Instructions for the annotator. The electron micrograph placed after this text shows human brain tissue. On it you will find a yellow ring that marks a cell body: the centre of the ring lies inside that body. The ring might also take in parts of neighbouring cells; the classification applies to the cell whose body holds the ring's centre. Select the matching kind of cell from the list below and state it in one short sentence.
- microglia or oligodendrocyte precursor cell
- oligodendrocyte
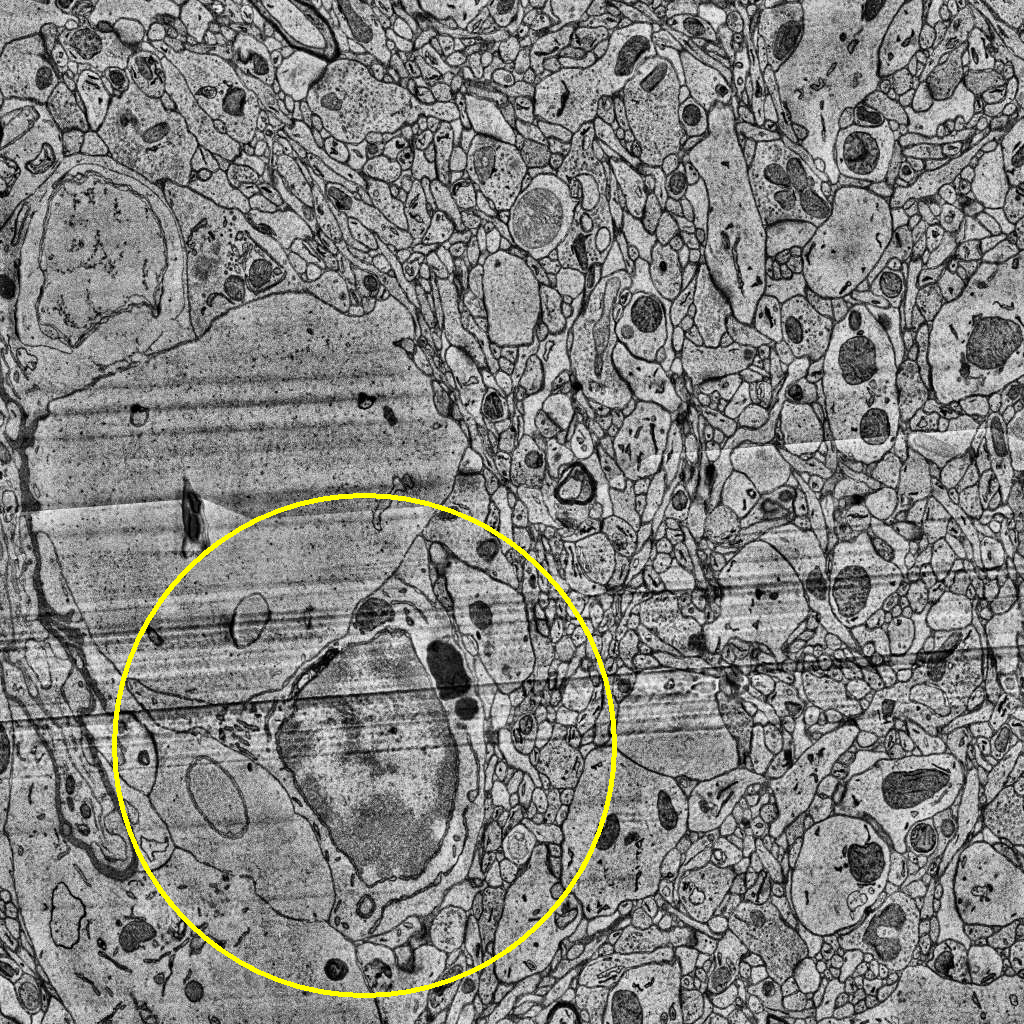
The centre of the ring lies in the cell body of a microglial cell or oligodendrocyte precursor cell.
